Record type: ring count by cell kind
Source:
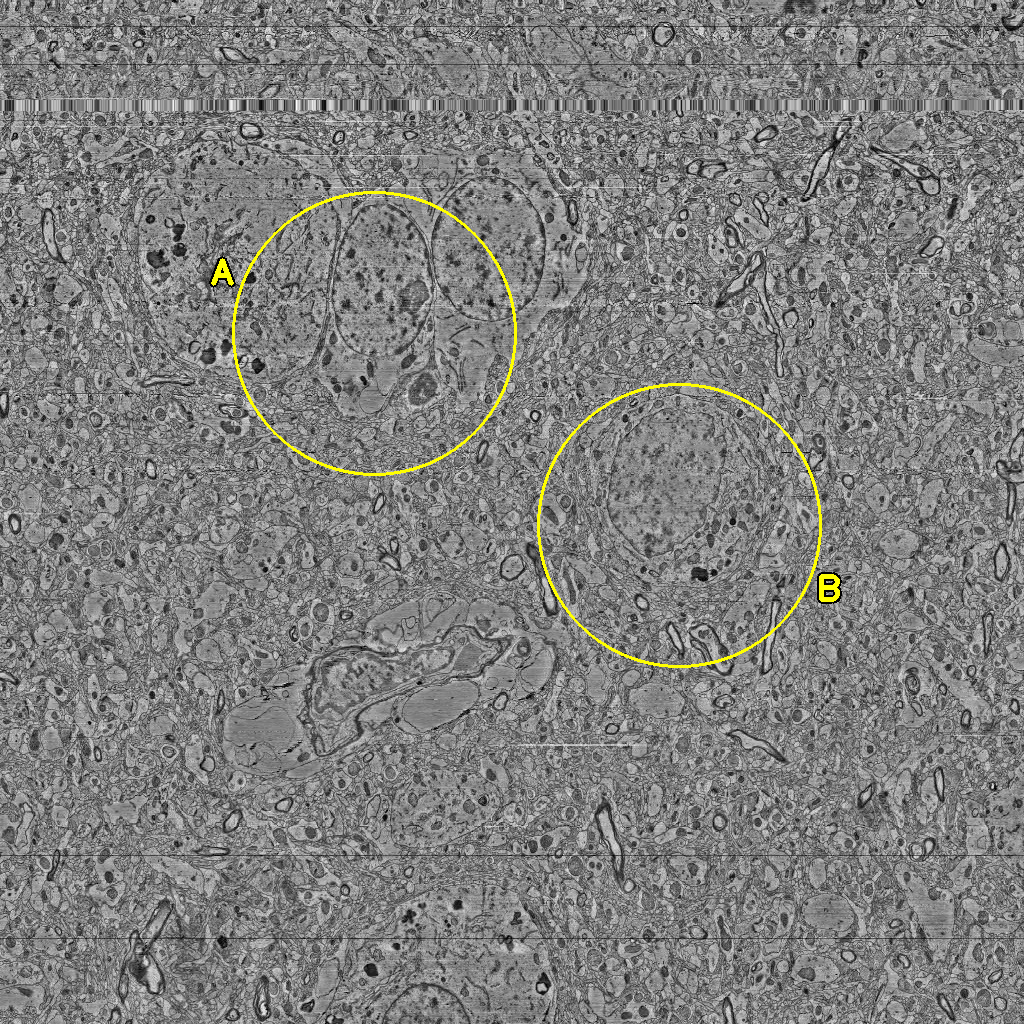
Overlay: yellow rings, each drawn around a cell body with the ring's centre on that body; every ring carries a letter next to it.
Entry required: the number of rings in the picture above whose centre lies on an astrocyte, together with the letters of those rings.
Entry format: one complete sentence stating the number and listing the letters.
The micrograph shows only one ring centred on an astrocyte, and that ring is lettered A.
